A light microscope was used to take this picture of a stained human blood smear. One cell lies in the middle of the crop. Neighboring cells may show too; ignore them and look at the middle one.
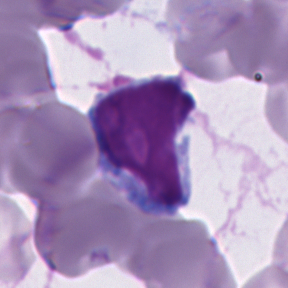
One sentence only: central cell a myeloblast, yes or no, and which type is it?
No, instead of a myeloblast, the centred cell represents a typical lymphocyte.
